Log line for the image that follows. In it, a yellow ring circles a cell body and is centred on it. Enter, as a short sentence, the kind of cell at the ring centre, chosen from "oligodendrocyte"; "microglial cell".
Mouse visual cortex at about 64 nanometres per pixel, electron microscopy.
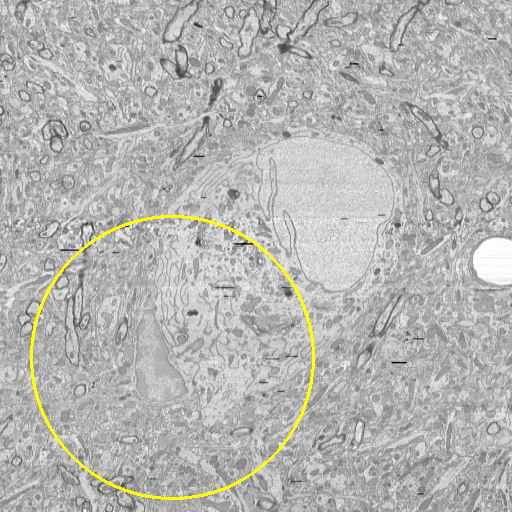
The ring centre is occupied by a microglial cell.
